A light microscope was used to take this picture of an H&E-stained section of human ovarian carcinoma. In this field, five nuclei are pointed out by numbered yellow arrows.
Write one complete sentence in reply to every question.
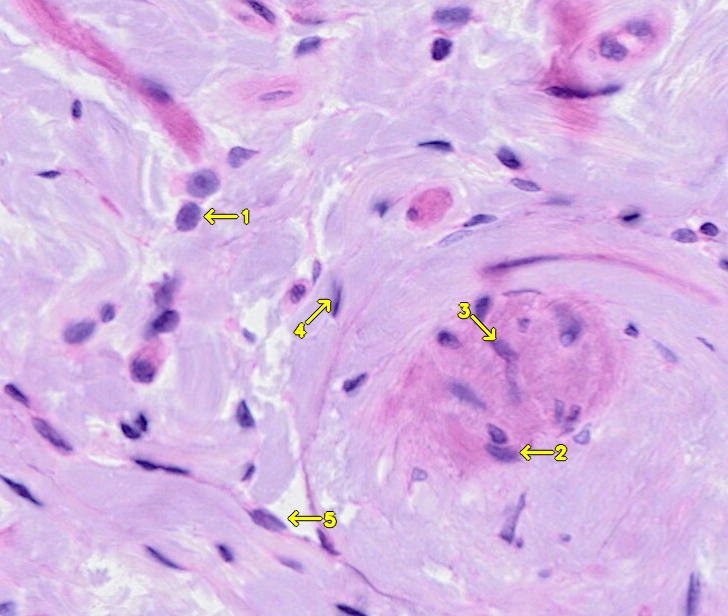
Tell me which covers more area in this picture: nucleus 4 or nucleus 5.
Of the two, number 5 is bigger and takes up about 1.5 times the area of number 4.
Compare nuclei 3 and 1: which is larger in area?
Nucleus 1 is larger, with an area about 1.5 times that of nucleus 3.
